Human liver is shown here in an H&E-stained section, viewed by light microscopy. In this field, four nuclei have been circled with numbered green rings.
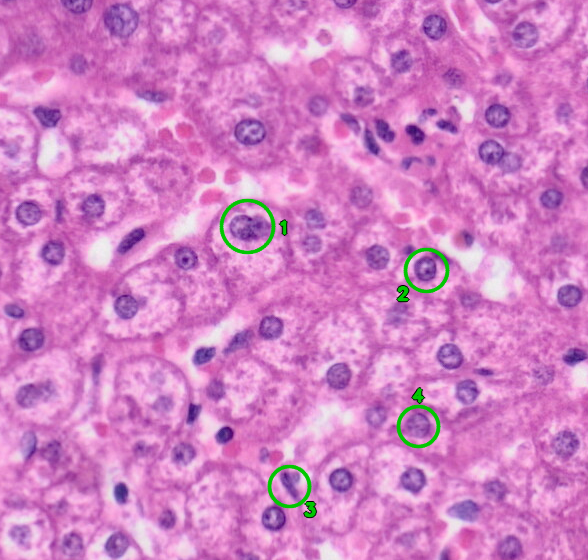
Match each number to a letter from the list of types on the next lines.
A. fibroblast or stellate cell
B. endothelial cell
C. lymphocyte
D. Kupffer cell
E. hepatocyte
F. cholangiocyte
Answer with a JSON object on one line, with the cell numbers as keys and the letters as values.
{"1": "E", "2": "E", "3": "D", "4": "E"}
